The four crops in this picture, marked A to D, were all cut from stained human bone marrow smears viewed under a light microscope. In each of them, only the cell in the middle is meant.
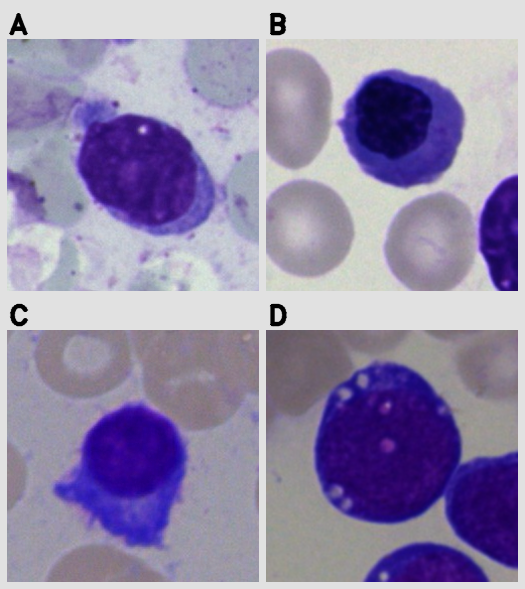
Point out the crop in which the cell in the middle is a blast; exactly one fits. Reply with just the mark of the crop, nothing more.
D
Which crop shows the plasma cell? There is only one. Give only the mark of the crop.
C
